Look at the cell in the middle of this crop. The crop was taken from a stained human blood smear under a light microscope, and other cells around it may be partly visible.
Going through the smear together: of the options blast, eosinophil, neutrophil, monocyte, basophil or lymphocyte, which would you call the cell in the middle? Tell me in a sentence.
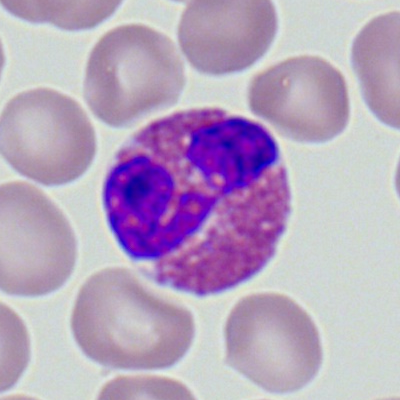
The cell sitting right in the middle is an eosinophil.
